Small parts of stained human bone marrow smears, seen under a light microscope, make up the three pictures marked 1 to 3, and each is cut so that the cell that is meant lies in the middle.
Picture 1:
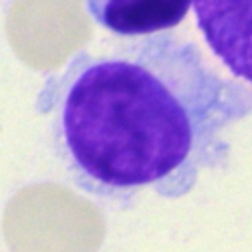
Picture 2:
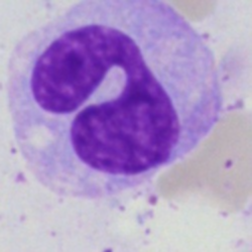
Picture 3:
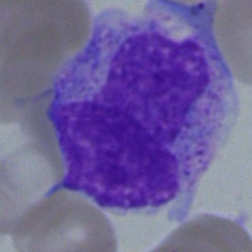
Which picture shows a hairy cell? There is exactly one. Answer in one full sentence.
It is picture 1 that shows the hairy cell.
